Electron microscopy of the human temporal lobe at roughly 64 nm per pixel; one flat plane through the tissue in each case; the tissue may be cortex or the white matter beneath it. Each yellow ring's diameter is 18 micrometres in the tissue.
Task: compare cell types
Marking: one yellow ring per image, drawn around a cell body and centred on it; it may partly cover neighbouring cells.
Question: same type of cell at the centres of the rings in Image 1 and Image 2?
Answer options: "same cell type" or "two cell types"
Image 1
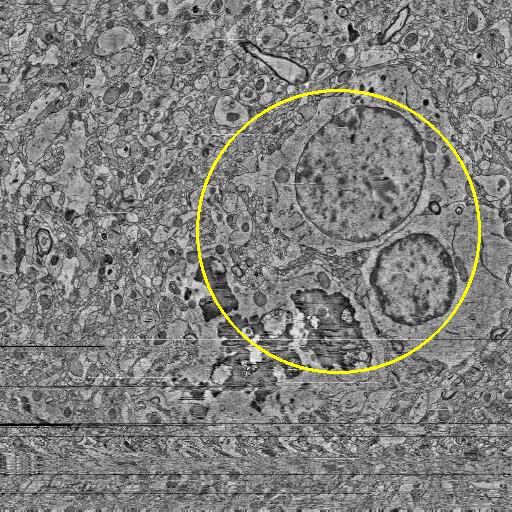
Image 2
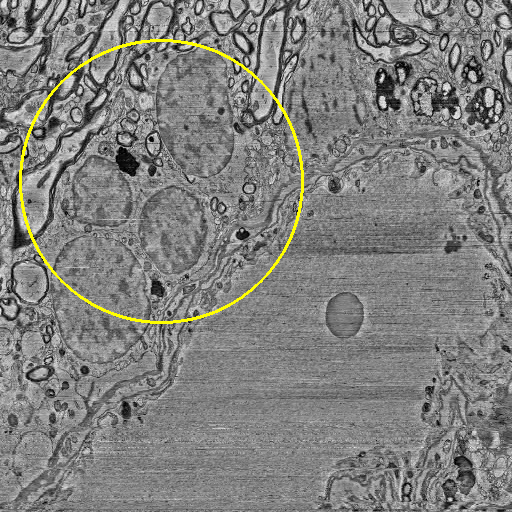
two cell types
